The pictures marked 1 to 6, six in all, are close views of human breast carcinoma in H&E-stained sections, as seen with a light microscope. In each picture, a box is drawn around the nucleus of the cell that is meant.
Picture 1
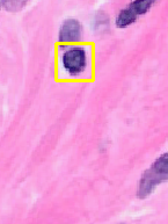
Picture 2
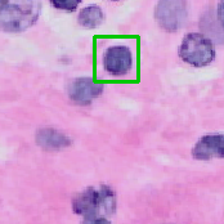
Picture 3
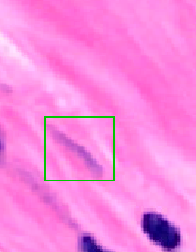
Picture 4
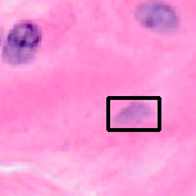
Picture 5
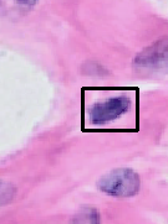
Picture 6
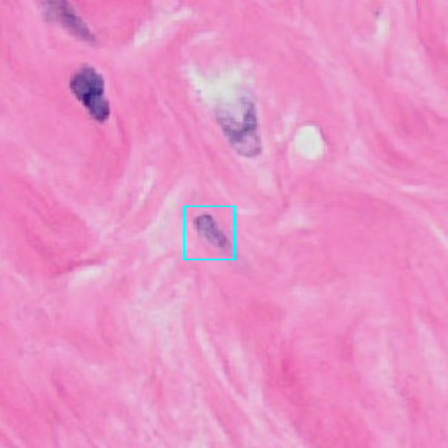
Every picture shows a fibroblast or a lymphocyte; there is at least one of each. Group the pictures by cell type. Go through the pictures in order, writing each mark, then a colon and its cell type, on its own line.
1: lymphocyte
2: lymphocyte
3: fibroblast
4: fibroblast
5: lymphocyte
6: fibroblast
